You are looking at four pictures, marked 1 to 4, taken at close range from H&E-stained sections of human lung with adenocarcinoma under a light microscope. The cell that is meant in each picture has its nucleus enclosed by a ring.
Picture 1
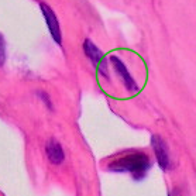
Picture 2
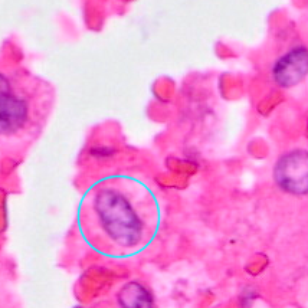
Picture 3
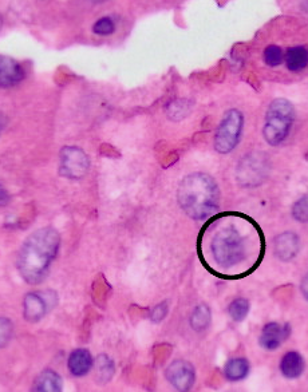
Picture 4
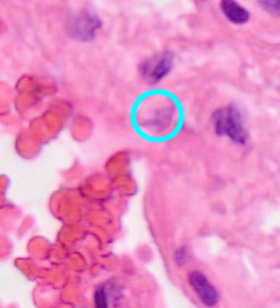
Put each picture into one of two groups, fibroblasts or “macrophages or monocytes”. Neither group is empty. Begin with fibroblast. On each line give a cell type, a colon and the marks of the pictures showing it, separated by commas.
fibroblast: 1, 4
macrophage or monocyte: 2, 3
